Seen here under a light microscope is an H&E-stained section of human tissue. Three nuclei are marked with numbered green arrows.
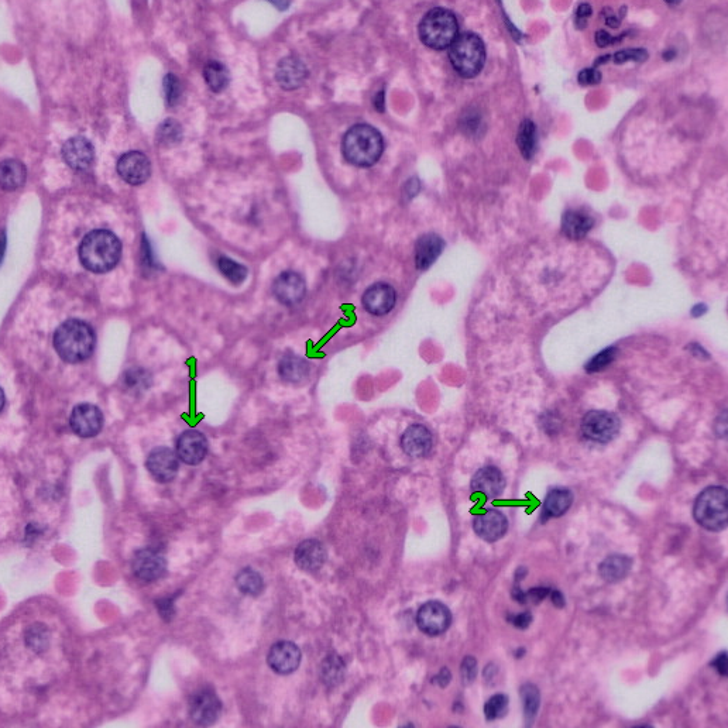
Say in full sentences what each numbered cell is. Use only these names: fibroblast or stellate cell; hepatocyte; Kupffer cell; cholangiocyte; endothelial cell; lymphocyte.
Cells 1 and 3 are hepatocytes. Cell 2 is a Kupffer cell.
